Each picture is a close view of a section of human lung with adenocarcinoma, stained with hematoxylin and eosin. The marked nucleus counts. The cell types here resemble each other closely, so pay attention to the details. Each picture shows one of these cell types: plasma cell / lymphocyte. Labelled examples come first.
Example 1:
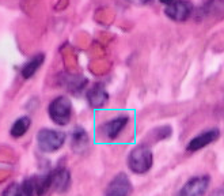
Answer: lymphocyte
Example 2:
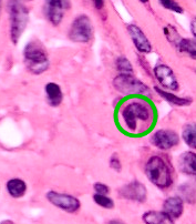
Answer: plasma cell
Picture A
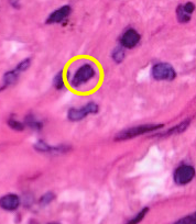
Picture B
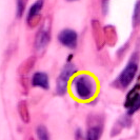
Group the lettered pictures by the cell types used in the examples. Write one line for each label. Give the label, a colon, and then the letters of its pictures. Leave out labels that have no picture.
plasma cell: B
lymphocyte: A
